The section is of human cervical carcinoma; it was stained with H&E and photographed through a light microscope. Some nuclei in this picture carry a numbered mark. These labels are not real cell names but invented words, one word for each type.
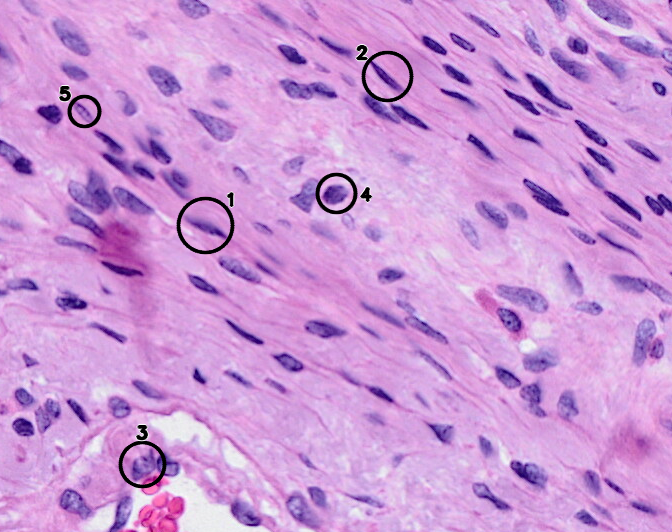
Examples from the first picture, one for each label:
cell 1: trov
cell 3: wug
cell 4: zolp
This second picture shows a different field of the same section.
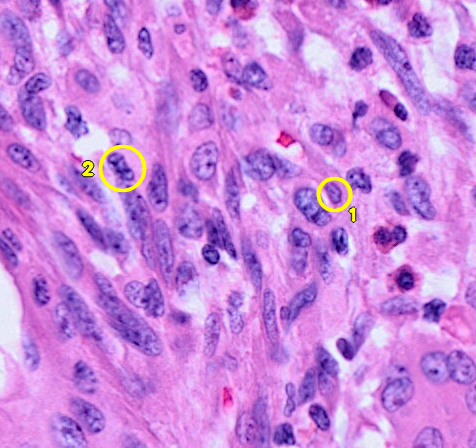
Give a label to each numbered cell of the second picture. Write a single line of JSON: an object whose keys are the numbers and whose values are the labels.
{"1": "wug", "2": "zolp"}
